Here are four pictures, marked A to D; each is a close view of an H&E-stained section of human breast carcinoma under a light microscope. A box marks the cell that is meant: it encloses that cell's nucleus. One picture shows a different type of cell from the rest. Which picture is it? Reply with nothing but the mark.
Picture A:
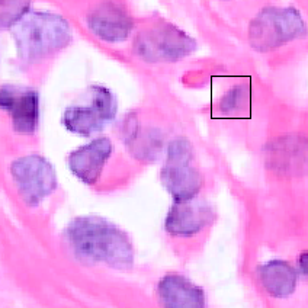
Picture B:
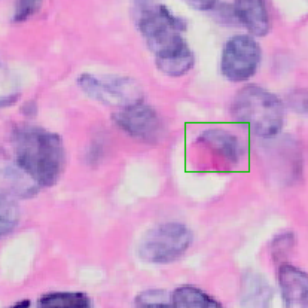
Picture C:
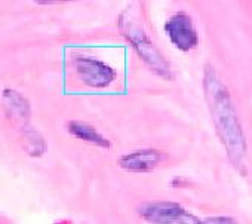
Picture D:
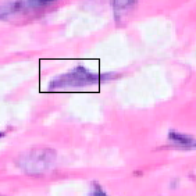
D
